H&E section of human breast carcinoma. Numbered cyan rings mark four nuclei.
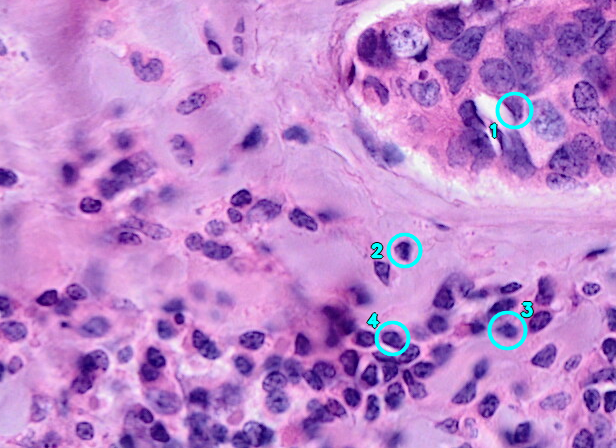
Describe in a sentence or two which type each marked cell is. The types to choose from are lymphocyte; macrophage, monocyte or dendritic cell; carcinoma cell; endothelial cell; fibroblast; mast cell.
Cell 1 is a carcinoma cell. Cells 2, 3 and 4 are lymphocytes.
